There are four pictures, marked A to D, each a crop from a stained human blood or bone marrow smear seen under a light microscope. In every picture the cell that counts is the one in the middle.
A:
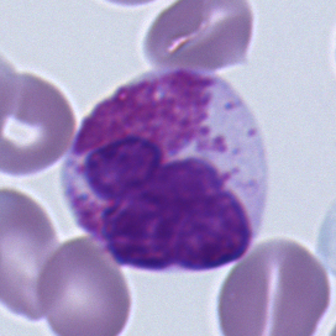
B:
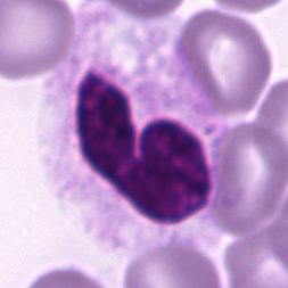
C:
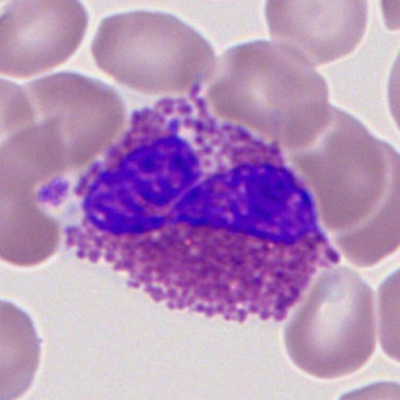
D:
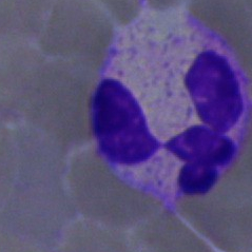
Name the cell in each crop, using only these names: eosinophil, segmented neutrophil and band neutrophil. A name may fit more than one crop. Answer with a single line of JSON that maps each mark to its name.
{"A": "eosinophil", "B": "band neutrophil", "C": "eosinophil", "D": "segmented neutrophil"}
